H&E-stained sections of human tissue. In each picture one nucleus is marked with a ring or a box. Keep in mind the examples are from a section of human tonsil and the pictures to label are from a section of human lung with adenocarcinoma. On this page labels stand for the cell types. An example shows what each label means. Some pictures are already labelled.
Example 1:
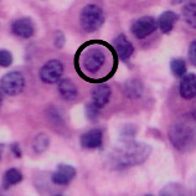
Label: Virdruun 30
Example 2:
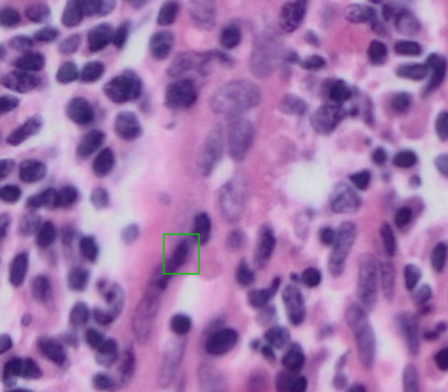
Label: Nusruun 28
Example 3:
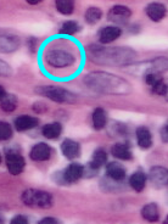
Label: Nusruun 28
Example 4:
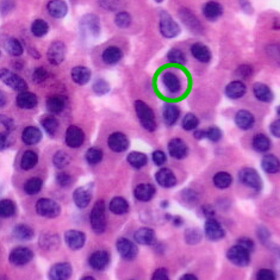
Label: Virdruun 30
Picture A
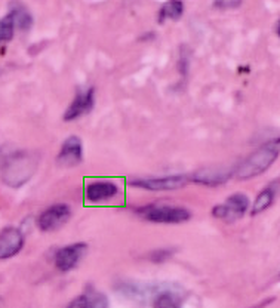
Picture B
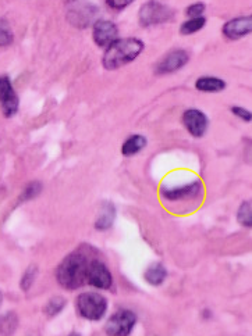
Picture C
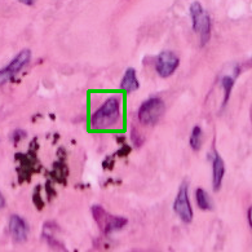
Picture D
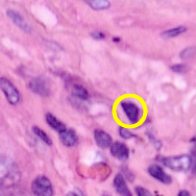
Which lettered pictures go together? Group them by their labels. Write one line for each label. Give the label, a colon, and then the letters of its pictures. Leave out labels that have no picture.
Virdruun 30: A, C, D
Nusruun 28: B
